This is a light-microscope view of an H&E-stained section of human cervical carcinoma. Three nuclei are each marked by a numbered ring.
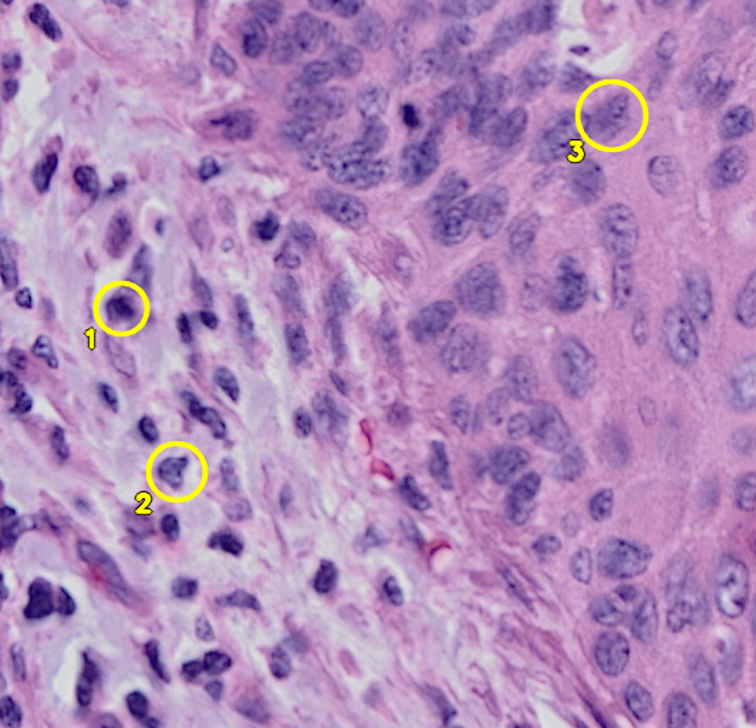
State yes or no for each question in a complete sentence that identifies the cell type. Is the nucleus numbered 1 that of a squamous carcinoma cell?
No, cell 1 counts as a lymphocyte rather than as a squamous carcinoma cell.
